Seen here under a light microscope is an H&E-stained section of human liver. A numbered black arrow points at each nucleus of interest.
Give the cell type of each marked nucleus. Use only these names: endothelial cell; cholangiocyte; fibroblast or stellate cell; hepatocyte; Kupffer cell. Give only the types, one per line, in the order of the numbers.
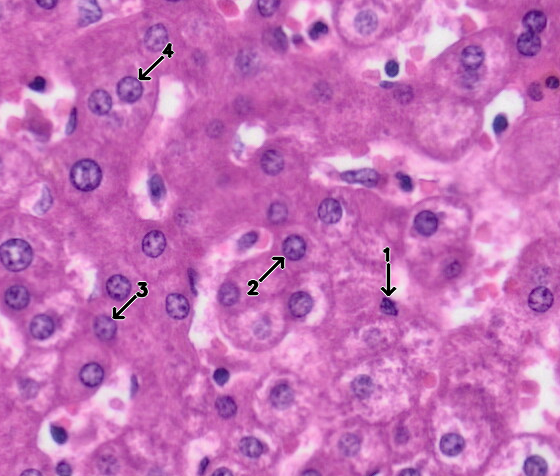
fibroblast or stellate cell
hepatocyte
hepatocyte
hepatocyte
